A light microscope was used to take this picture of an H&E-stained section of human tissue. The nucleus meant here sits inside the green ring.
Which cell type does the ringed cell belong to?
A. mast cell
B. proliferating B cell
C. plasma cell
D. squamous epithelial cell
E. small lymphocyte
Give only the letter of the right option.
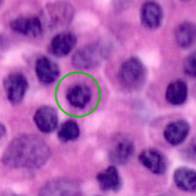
C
